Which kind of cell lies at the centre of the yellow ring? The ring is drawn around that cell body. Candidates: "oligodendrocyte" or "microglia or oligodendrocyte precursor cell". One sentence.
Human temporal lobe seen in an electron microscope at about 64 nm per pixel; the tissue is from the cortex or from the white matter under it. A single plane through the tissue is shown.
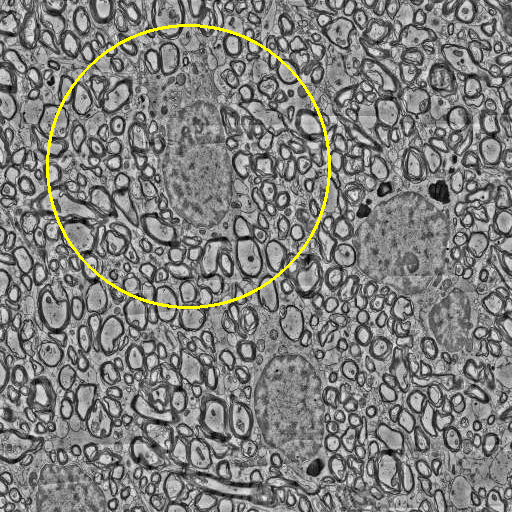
Lying at the centre of the ring is an oligodendrocyte.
